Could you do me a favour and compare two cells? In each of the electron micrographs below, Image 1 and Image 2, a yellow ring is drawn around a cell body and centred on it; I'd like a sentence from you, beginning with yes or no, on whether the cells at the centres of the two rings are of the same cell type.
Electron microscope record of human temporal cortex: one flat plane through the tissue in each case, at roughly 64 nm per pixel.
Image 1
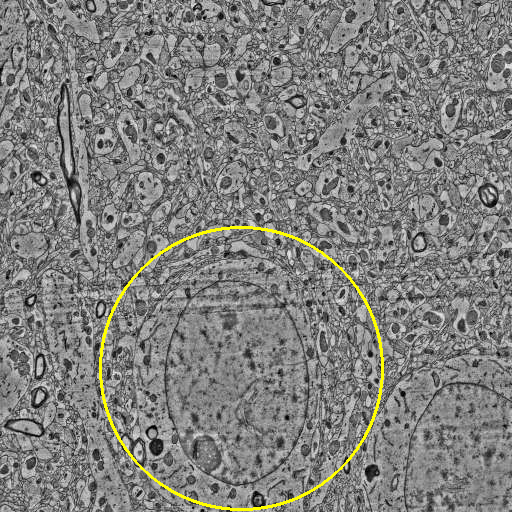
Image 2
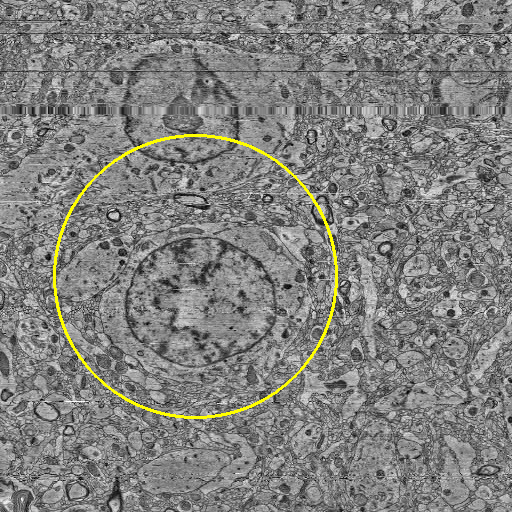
Yes, the two cells are of the same cell type.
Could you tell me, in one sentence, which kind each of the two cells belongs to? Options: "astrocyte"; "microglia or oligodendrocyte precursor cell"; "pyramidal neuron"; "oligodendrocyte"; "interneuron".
Each of the ringed cells, first and second, is a pyramidal neuron.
